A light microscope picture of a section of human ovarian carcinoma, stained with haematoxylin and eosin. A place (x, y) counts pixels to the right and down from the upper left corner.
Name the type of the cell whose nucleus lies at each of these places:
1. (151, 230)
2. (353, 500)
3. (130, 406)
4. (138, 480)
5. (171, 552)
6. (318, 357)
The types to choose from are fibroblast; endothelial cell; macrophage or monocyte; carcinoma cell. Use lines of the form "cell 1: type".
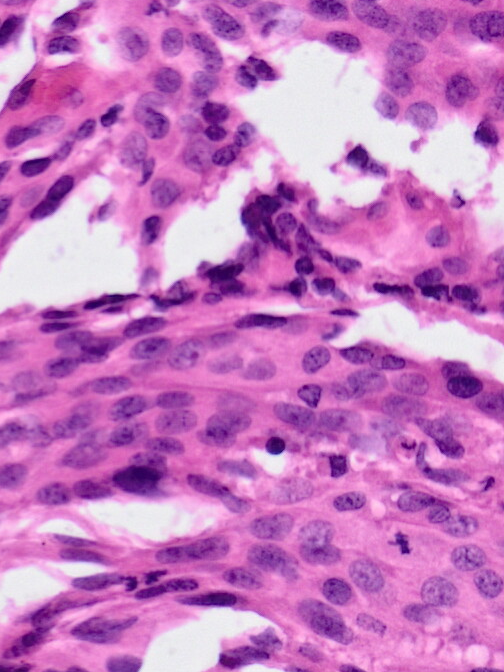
cell 1: macrophage or monocyte
cell 2: macrophage or monocyte
cell 3: carcinoma cell
cell 4: carcinoma cell
cell 5: carcinoma cell
cell 6: macrophage or monocyte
